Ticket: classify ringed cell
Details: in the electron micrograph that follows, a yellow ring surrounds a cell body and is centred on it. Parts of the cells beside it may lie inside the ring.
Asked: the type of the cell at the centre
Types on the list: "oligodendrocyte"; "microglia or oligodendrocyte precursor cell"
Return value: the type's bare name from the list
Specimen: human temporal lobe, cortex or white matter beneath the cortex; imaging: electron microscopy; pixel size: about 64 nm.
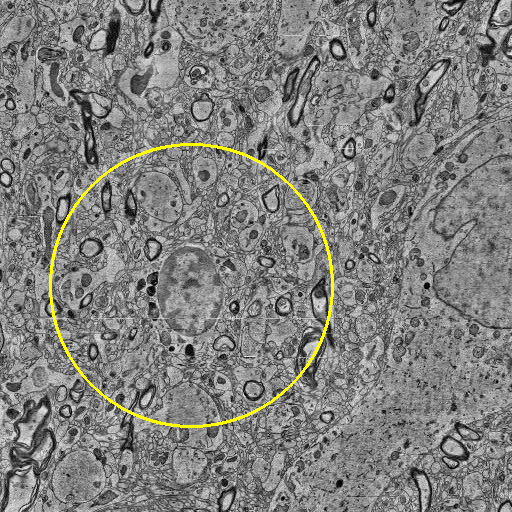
microglia or oligodendrocyte precursor cell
